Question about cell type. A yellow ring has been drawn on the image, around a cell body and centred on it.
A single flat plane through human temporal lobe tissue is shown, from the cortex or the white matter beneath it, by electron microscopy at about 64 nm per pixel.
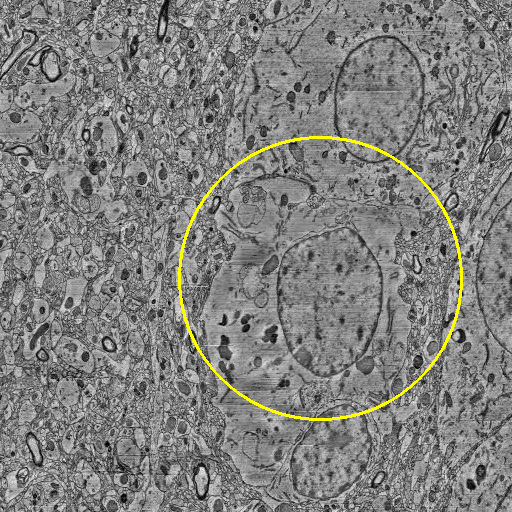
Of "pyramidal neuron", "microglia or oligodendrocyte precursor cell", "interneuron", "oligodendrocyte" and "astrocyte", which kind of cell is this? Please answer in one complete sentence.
At the centre of the ring lies an astrocyte.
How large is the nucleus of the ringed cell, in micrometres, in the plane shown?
In this plane, roughly 10 by 7 micrometres.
